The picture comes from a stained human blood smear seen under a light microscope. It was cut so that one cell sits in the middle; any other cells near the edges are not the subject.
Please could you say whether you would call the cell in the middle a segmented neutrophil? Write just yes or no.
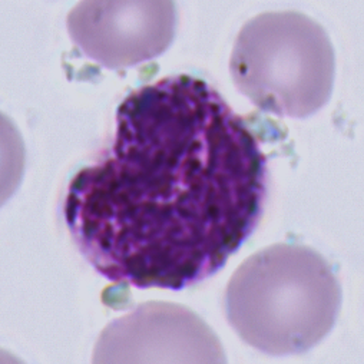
no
